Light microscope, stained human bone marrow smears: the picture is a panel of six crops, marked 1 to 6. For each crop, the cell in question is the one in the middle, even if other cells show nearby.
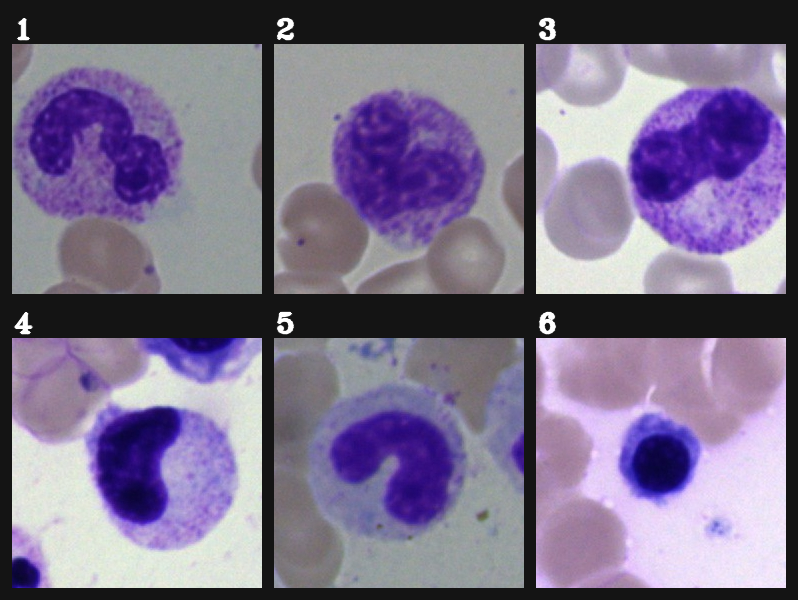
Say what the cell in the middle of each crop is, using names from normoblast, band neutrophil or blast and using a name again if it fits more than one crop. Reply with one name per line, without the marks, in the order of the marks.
band neutrophil
band neutrophil
band neutrophil
band neutrophil
band neutrophil
normoblast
